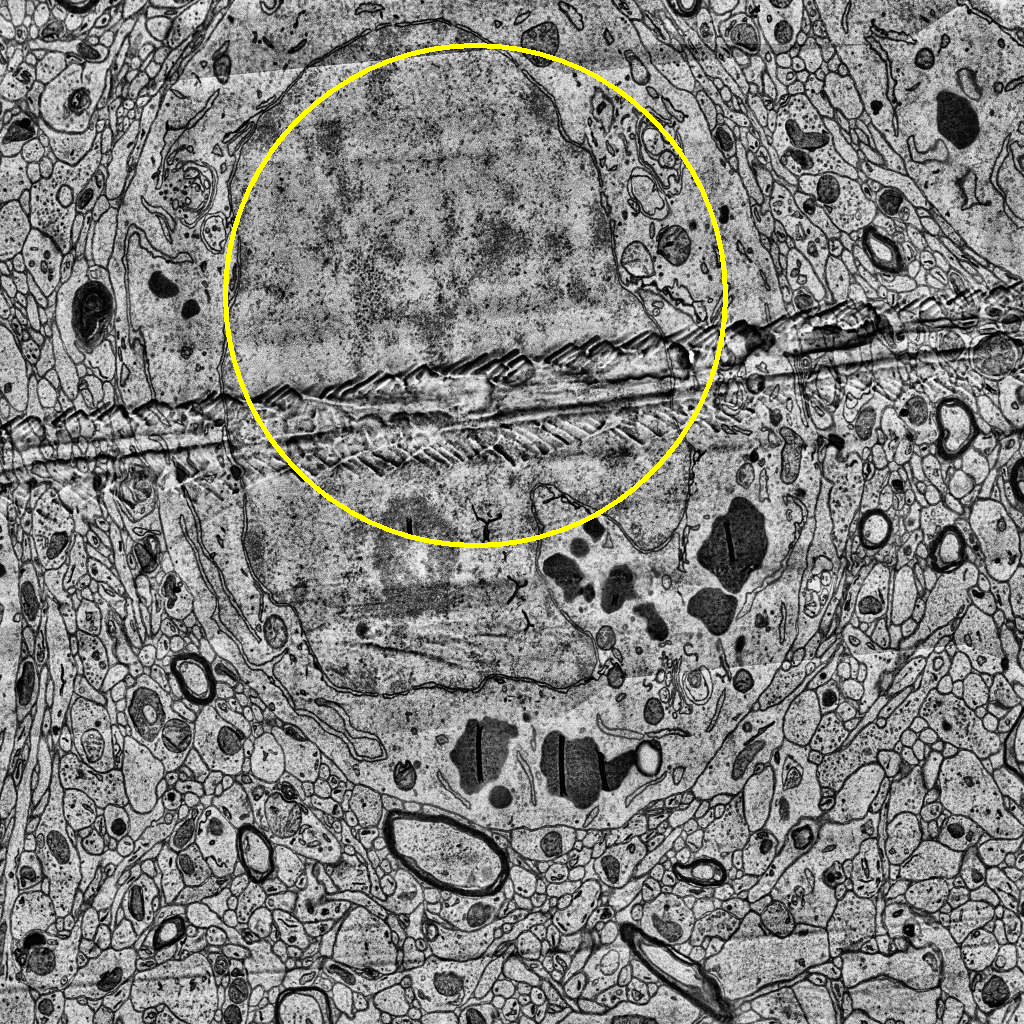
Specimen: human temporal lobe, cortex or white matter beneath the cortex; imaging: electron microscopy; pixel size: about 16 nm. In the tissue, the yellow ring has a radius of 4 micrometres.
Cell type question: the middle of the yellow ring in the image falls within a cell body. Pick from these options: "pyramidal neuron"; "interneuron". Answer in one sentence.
The cell body at the center of the ring belongs to an interneuron.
